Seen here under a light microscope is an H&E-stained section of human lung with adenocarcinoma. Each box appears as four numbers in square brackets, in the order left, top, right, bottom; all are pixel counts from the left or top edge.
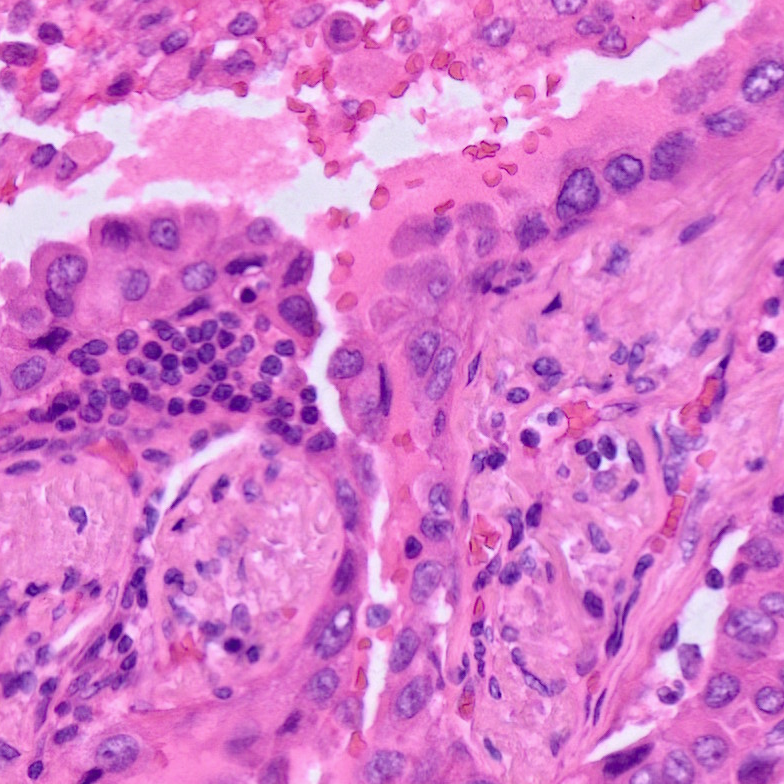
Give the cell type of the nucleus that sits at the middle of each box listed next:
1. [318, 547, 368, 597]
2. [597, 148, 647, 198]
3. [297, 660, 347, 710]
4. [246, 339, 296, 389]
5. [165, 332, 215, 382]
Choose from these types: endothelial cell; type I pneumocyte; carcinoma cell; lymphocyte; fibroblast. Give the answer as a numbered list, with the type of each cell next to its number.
1. carcinoma cell
2. carcinoma cell
3. carcinoma cell
4. lymphocyte
5. lymphocyte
